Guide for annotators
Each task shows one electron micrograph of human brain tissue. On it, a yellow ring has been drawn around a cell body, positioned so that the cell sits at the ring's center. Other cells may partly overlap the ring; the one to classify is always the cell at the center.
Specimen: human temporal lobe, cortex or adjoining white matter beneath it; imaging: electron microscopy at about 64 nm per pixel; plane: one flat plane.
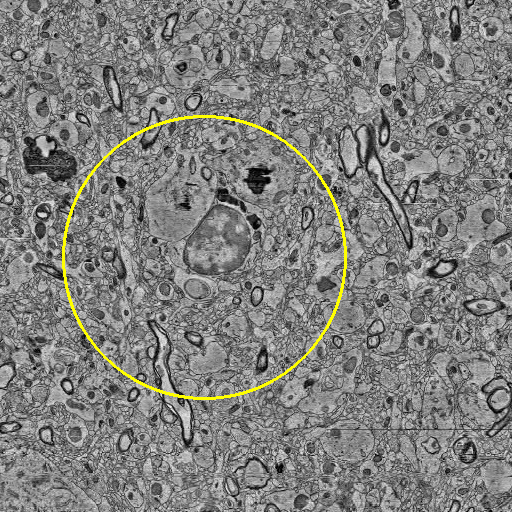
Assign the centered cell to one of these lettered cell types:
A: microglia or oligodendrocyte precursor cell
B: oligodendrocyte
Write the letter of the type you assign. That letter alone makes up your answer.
A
